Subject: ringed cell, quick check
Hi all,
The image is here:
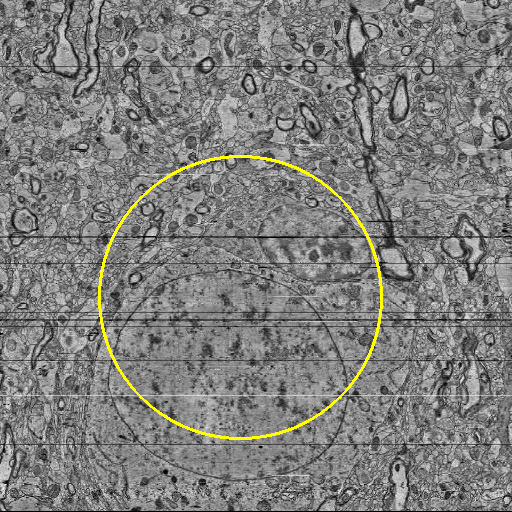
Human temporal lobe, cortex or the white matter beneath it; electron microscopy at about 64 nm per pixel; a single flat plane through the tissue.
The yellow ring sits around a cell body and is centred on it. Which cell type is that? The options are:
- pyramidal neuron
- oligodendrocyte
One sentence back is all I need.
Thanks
That ringed cell is a pyramidal neuron.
